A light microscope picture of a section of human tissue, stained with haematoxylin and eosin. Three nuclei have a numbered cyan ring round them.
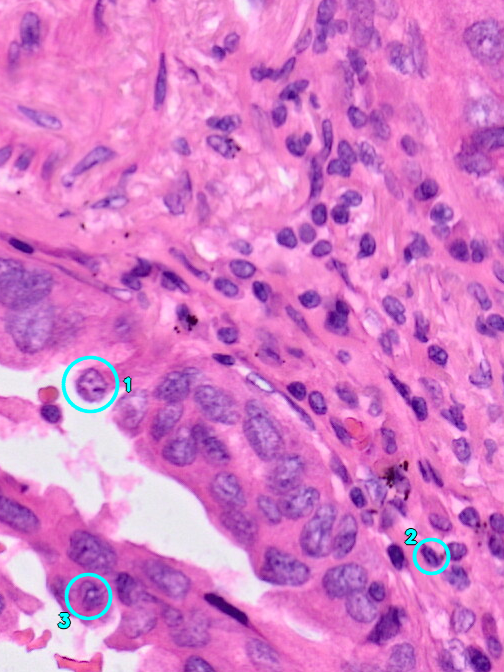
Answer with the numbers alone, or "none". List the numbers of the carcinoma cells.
1, 3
